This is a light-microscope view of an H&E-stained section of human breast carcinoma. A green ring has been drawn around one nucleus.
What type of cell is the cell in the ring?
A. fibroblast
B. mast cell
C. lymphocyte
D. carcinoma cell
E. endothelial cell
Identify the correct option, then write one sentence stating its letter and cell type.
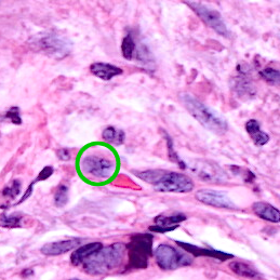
The statement that the cell in the ring is an endothelial cell corresponds to option E, the correct one.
